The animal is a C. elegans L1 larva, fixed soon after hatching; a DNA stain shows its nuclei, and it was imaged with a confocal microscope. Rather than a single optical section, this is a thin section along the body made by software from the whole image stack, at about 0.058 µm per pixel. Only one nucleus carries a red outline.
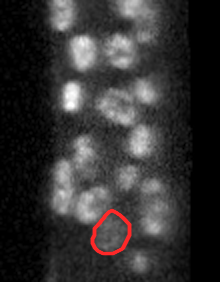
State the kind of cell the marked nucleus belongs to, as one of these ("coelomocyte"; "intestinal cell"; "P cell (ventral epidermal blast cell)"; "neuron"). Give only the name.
intestinal cell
